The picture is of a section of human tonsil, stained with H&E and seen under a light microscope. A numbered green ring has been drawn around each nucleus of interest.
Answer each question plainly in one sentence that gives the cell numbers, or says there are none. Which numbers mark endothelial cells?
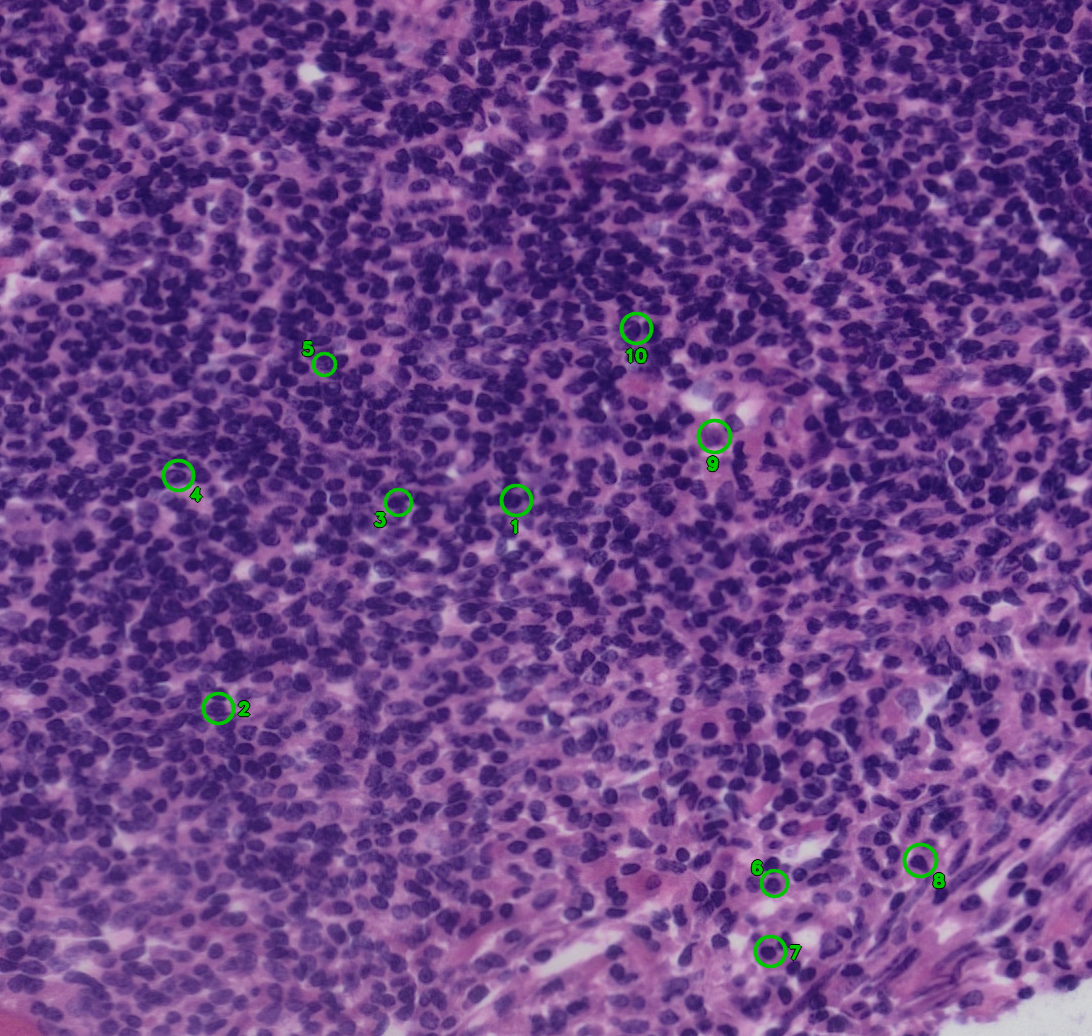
Only the cell with the number 9 is an endothelial cell.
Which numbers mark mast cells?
Across the numbered cells, there are no mast cells.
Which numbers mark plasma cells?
The numbers 6, 7 and 8 in this section indicate plasma cells.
